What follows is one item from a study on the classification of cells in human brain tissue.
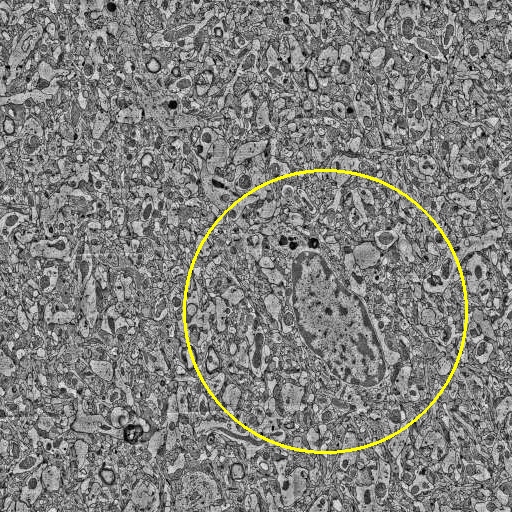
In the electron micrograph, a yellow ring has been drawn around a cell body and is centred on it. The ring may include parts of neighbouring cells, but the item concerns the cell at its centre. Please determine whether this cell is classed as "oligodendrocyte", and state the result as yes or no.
no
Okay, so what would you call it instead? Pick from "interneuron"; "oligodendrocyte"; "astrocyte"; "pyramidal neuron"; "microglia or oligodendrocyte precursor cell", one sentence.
The cell marked by the ring is a microglial cell or oligodendrocyte precursor cell.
